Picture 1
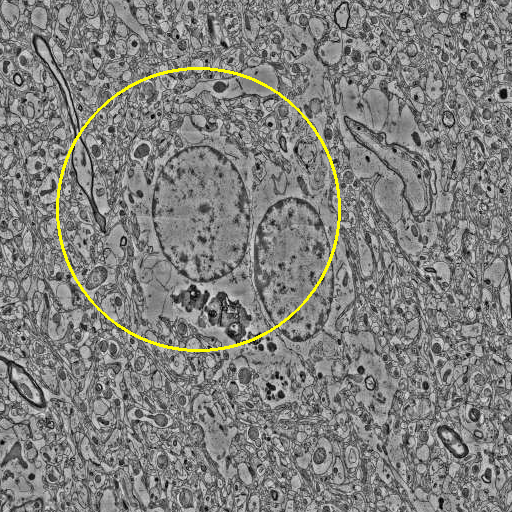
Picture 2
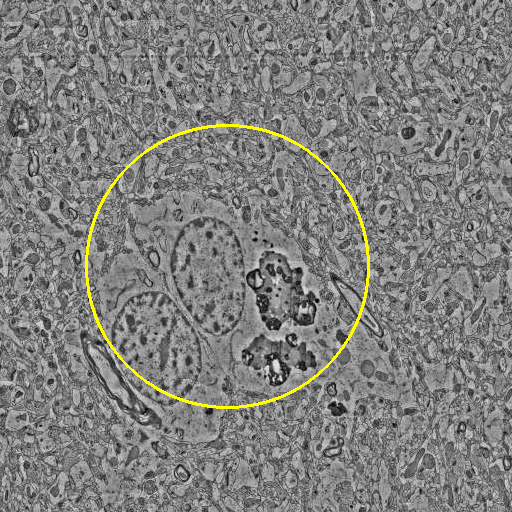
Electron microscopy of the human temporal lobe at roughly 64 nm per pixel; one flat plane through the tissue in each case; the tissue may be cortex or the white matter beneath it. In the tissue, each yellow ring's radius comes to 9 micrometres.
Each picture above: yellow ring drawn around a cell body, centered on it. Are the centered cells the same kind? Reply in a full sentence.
Yes, the two cells are the same kind.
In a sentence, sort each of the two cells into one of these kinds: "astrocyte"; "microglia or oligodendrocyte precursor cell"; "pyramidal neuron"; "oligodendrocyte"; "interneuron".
In both pictures the ring is centred on an astrocyte.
